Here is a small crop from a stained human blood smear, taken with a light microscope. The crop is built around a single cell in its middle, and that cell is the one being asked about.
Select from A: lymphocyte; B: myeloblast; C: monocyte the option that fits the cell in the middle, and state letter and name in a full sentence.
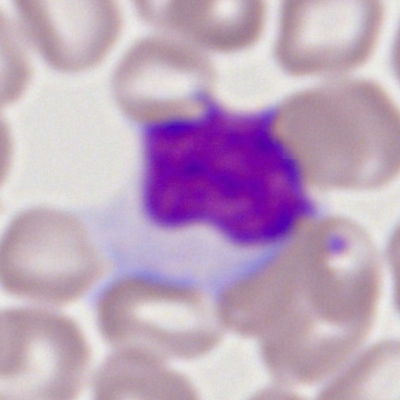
The centrally located cell is a lymphocyte, making option A the correct choice.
